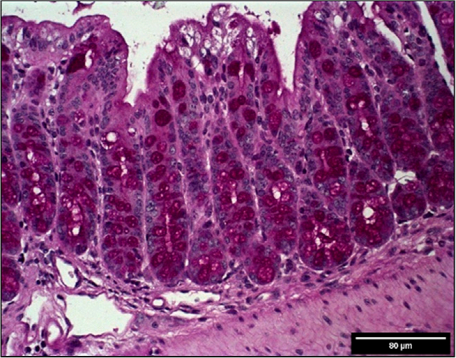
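Colon mucosa is shown with closely packed crypts rich in goblet cells. The goblet cells hold abundant deep magenta mucin, some with paler, vacuolated-looking contents, and fill much of each crypt. Purple nuclei of the epithelial cells lie at the crypt margins between the goblet cells. The crypts stand side by side, separated by thin strips of connective tissue, above a pink layer at the bottom of the image. The luminal surface at the top is lined by a continuous epithelium with an undulating contour.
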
